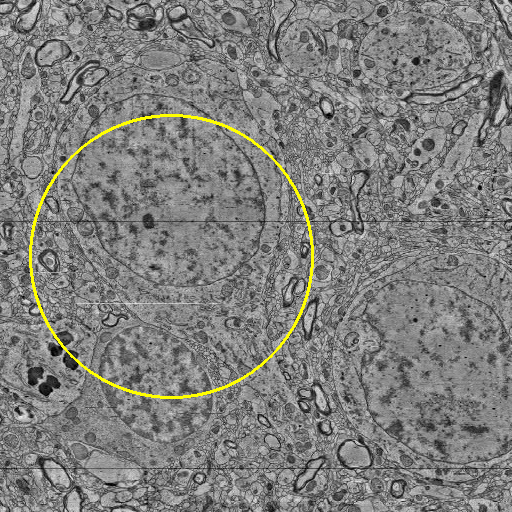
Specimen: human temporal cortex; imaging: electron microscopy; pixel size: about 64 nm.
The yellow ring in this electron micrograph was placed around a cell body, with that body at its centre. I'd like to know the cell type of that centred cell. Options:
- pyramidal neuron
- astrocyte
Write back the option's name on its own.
pyramidal neuron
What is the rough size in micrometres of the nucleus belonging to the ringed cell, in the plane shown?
Roughly 14 by 11 micrometres in this plane, for the nucleus of the ringed cell.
